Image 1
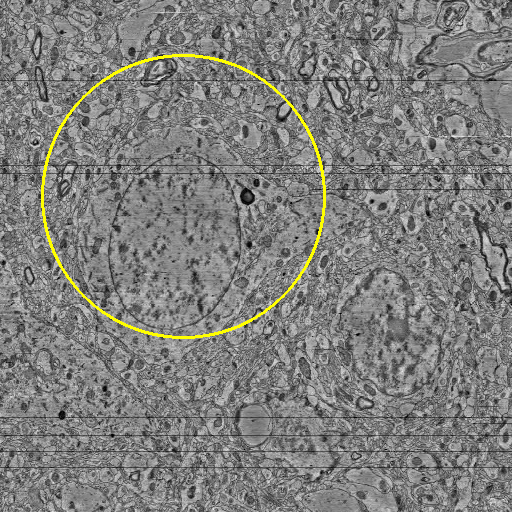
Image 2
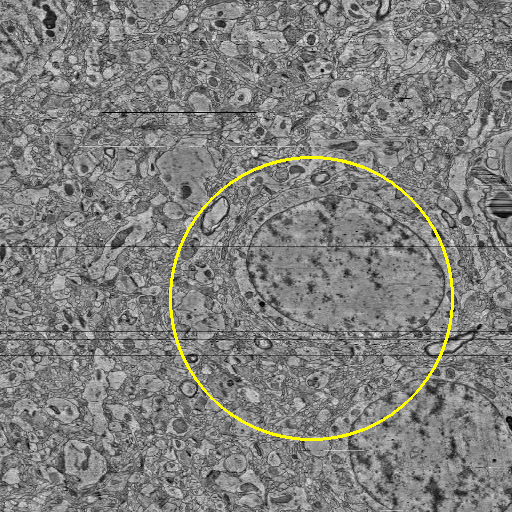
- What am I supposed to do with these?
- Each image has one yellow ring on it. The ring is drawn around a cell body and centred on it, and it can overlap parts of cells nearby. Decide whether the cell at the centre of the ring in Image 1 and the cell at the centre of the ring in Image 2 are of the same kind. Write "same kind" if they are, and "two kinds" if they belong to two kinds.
same kind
